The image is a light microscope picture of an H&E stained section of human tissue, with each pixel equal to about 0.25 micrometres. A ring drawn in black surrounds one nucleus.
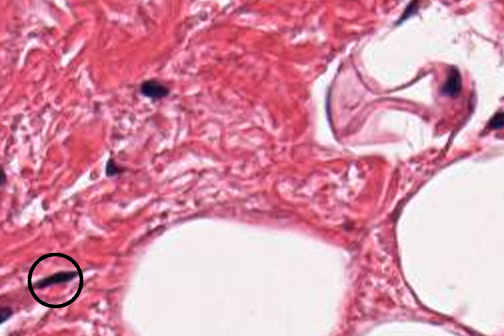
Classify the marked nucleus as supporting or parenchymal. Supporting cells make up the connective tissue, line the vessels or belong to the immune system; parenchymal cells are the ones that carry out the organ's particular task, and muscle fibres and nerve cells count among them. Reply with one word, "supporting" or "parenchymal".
supporting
